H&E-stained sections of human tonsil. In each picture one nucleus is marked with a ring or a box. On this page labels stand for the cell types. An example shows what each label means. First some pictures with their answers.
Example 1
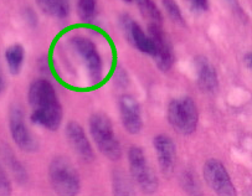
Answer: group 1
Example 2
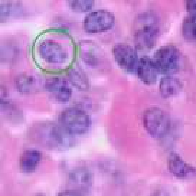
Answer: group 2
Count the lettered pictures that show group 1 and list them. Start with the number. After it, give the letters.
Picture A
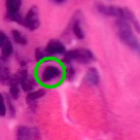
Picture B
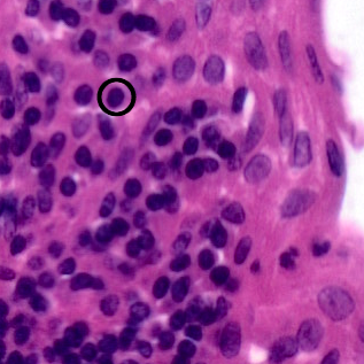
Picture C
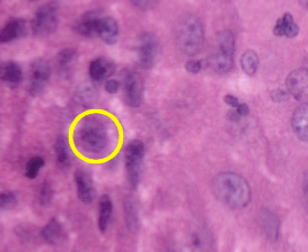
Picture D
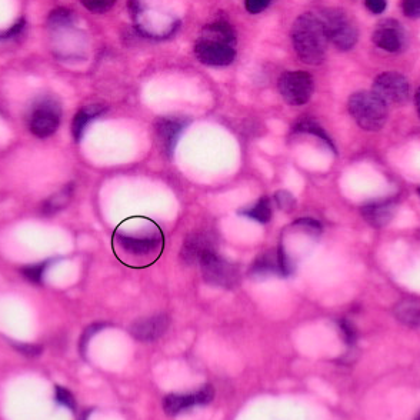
2, namely C, D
